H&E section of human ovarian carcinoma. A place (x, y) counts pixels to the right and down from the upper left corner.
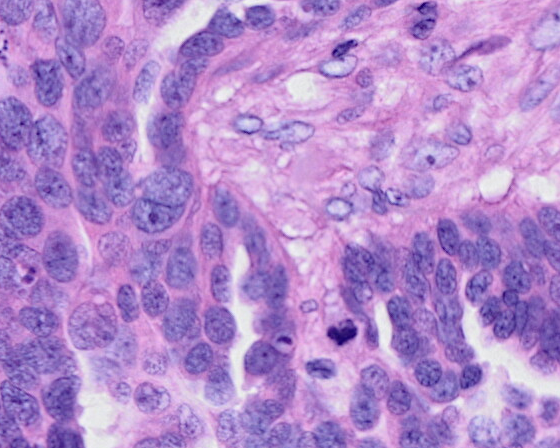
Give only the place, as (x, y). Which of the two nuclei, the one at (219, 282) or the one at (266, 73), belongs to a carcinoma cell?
(219, 282)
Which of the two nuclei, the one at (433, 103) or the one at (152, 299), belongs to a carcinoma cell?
(152, 299)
